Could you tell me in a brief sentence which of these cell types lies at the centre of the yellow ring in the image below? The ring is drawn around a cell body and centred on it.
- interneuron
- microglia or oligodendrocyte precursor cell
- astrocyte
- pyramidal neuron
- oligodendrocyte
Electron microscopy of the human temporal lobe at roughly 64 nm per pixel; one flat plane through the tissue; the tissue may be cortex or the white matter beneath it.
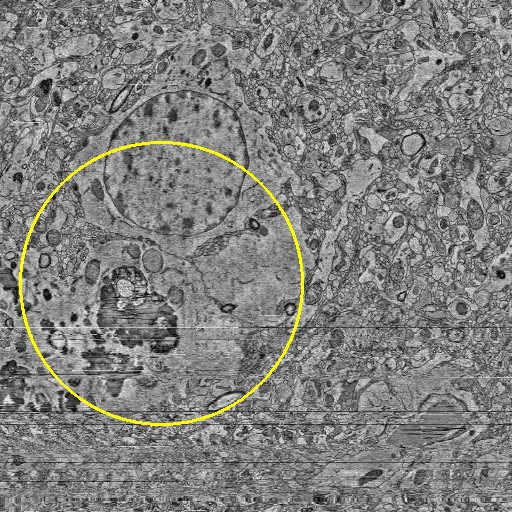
The cell centred in the ring is an astrocyte.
